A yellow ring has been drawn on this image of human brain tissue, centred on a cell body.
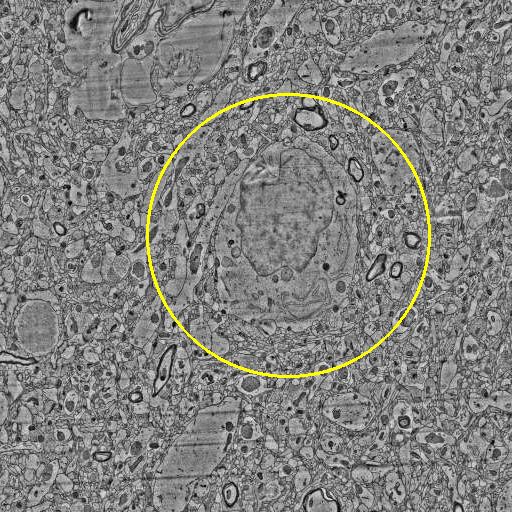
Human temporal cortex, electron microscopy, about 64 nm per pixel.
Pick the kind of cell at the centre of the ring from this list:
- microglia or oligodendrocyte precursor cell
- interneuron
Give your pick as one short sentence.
The centre of the ring holds an interneuron.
